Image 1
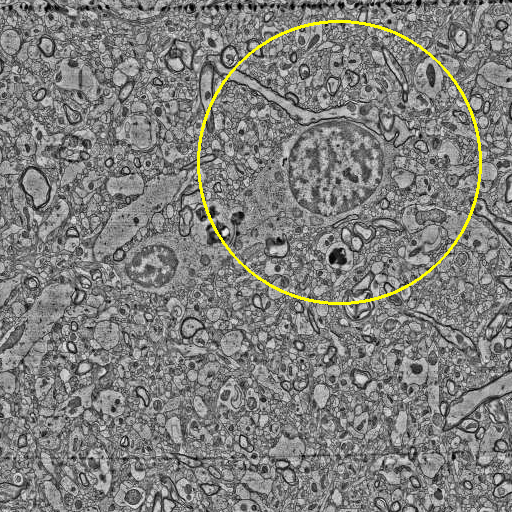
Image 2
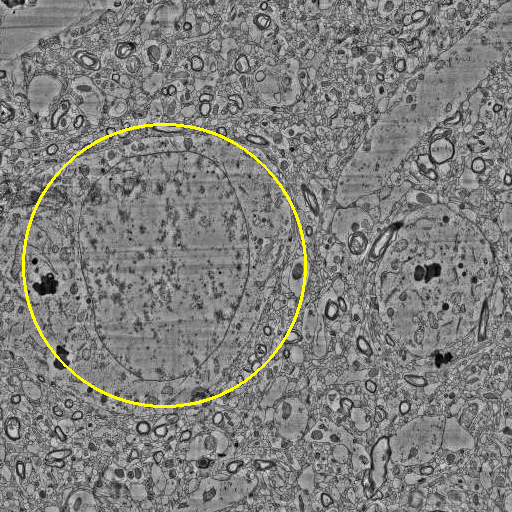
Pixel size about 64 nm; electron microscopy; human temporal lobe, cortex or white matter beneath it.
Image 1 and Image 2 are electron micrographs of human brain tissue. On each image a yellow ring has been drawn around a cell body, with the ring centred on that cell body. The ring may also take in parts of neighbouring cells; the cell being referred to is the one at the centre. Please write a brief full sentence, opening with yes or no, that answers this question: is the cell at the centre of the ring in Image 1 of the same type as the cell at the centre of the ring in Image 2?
No, the two cells are of two types.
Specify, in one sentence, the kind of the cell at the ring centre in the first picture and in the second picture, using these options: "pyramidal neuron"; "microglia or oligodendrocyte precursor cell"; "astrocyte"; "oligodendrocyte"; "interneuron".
So the first is an oligodendrocyte, the second a pyramidal neuron.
